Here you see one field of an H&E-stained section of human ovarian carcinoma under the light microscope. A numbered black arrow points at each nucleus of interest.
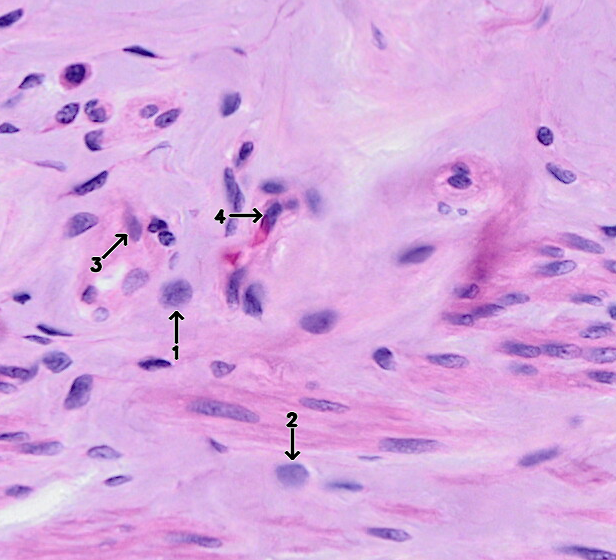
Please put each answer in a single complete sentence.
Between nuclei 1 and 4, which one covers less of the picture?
It is nucleus 4; nucleus 1 has about 2 times its area.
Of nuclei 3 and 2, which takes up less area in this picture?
It is nucleus 3; nucleus 2 has about 2 times its area.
